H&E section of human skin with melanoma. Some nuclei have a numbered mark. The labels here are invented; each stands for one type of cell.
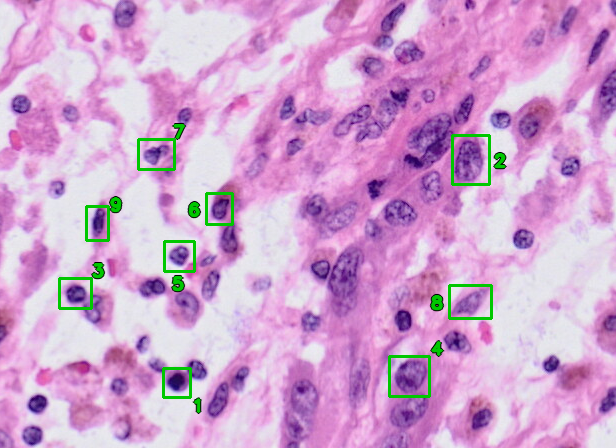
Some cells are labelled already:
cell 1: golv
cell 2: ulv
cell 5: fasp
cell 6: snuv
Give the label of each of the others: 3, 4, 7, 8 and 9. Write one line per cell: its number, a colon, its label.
3: fasp
4: ulv
7: fasp
8: snuv
9: fasp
